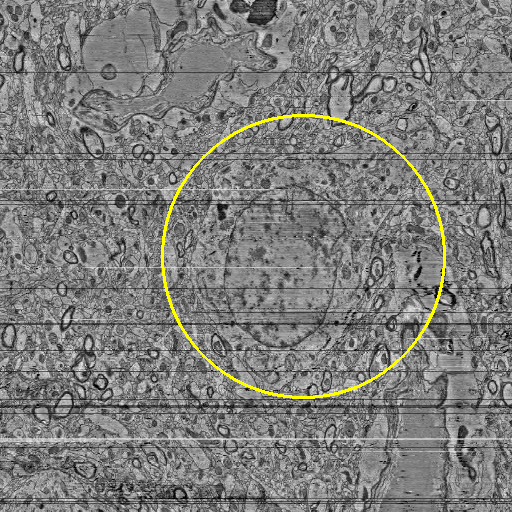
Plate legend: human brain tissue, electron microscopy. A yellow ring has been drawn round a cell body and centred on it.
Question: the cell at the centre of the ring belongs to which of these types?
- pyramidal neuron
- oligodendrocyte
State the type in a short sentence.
The cell in the middle of the ring is a pyramidal neuron.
